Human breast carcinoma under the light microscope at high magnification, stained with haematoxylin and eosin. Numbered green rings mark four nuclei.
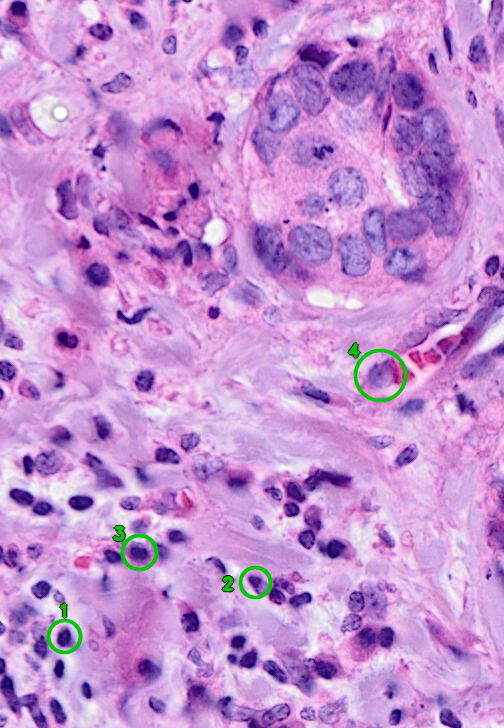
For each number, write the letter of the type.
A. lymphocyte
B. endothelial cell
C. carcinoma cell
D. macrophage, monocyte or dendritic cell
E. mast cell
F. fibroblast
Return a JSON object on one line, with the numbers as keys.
{"1": "A", "2": "A", "3": "A", "4": "B"}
